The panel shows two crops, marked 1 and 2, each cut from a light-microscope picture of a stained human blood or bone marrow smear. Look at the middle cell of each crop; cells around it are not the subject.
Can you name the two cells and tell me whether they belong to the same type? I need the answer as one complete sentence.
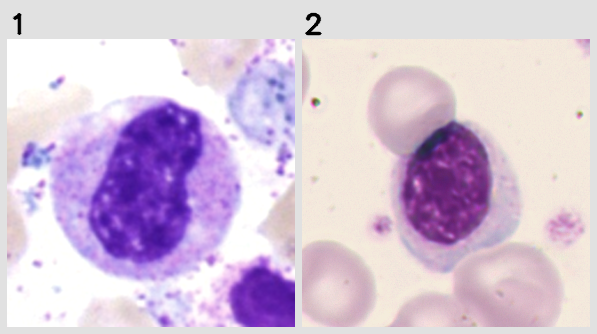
Yes, both crops in this set show metamyelocytes.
